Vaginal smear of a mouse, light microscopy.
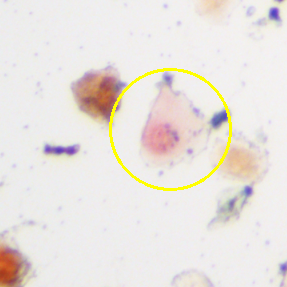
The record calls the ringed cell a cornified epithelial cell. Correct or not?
Not correct; it is a nucleated epithelial cell.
